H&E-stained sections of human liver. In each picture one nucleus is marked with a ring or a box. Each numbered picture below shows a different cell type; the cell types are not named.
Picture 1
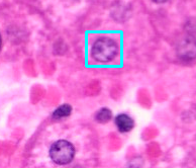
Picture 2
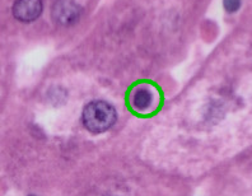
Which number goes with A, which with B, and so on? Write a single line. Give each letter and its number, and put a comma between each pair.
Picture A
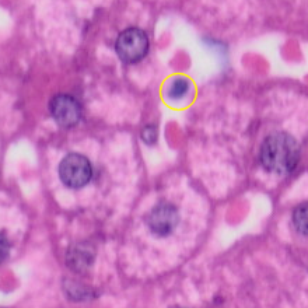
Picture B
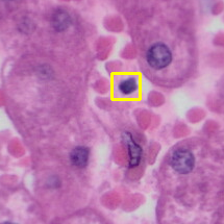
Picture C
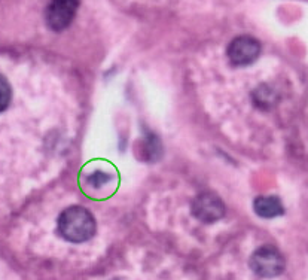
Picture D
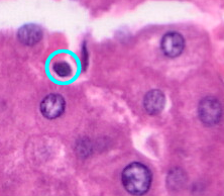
A 2, B 2, C 2, D 2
